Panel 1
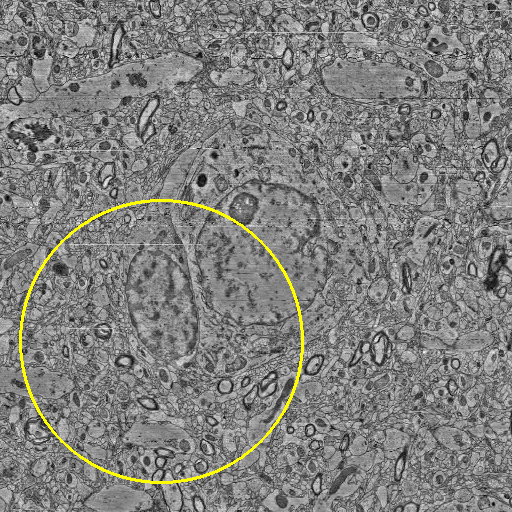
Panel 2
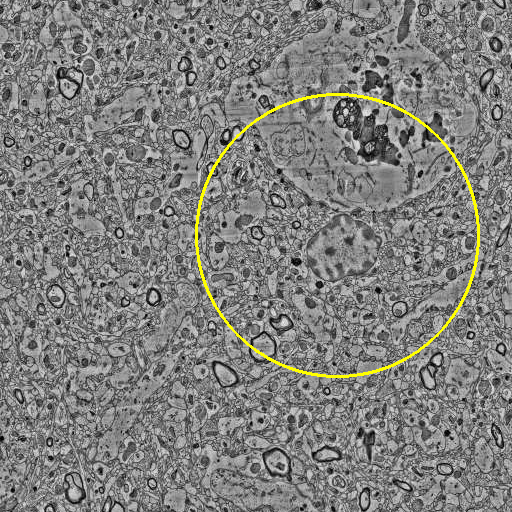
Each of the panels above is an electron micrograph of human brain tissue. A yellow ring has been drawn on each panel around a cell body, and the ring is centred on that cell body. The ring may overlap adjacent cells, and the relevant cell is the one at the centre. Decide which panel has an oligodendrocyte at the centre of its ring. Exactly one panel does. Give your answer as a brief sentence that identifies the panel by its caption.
Panel 1 is the one with it at the centre of the ring.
